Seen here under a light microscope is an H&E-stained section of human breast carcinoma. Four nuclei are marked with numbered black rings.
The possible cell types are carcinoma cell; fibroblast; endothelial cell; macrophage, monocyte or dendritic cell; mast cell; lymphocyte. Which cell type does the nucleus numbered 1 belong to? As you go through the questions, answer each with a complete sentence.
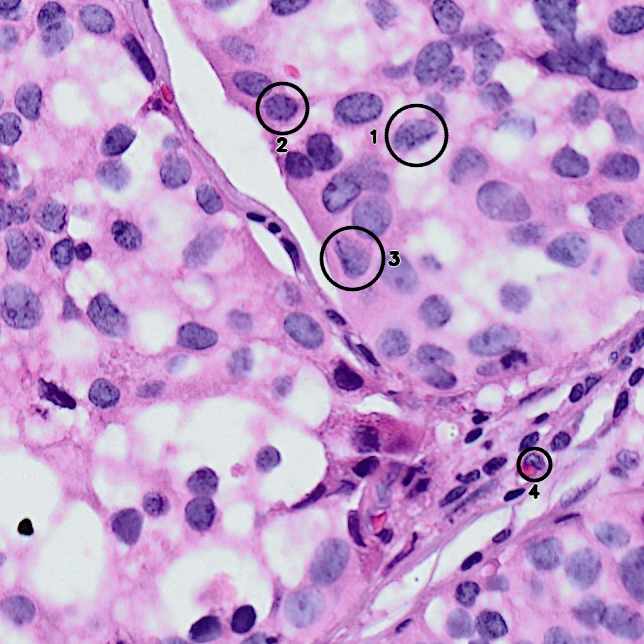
The cell carrying label 1 is identified as a carcinoma cell.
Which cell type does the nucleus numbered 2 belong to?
Cell 2 is classified as a carcinoma cell.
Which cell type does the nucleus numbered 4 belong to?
The mark numbered 4 indicates the nucleus of an endothelial cell.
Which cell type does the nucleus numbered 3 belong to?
As for number 3, that cell is a carcinoma cell.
